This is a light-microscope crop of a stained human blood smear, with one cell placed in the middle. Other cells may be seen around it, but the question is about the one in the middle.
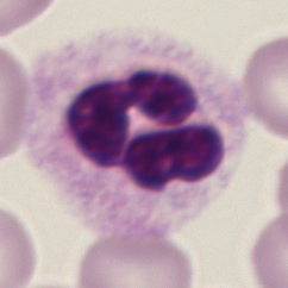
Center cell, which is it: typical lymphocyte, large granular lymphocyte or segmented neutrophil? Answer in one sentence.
Framed in the middle of the crop is a segmented neutrophil.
